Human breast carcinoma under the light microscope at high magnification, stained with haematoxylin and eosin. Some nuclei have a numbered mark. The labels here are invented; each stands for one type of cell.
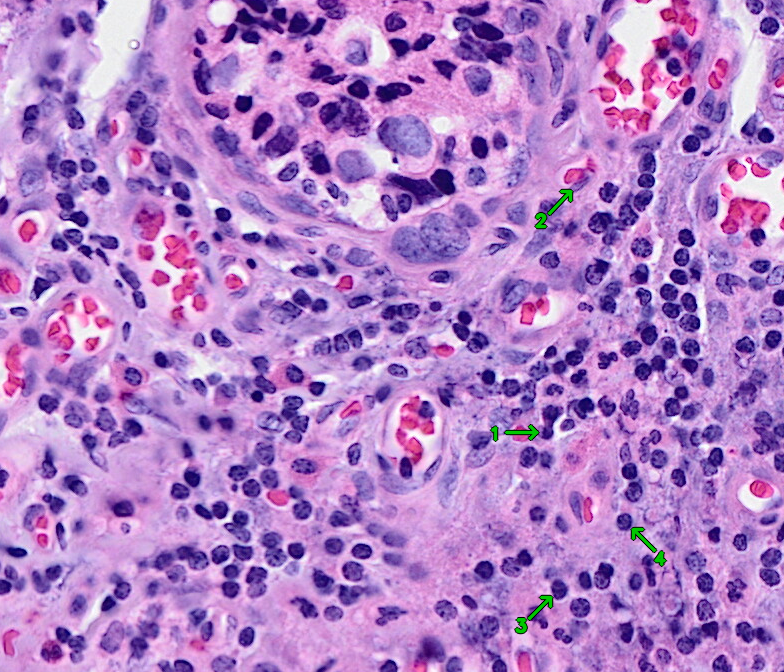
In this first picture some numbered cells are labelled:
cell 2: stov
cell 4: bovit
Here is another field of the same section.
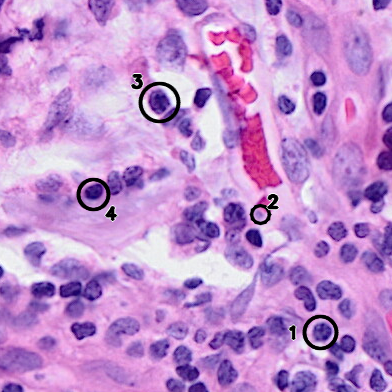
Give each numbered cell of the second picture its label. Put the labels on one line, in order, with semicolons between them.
bovit; stov; bovit; bovit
